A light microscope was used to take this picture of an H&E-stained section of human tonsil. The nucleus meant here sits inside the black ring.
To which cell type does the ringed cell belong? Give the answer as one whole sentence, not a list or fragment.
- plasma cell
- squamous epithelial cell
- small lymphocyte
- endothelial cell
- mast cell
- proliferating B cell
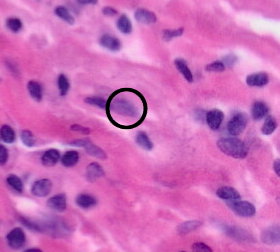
In short, the ringed cell on this section is an endothelial cell.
